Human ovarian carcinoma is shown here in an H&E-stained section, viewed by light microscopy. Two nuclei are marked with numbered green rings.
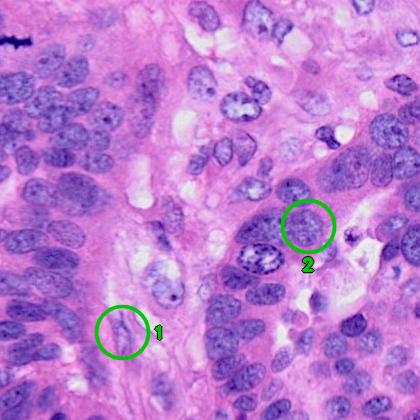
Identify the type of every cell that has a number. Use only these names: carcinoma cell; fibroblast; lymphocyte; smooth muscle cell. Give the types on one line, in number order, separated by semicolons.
fibroblast; carcinoma cell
